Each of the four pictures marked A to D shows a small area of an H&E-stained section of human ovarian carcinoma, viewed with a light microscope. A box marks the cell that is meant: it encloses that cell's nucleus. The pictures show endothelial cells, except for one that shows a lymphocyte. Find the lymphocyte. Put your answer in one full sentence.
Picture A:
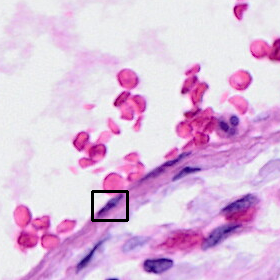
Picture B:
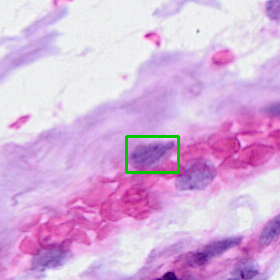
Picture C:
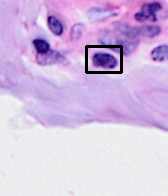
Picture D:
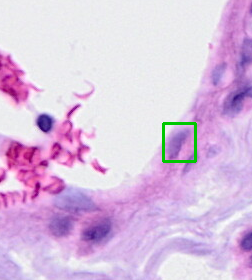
The picture with the lymphocyte is C.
